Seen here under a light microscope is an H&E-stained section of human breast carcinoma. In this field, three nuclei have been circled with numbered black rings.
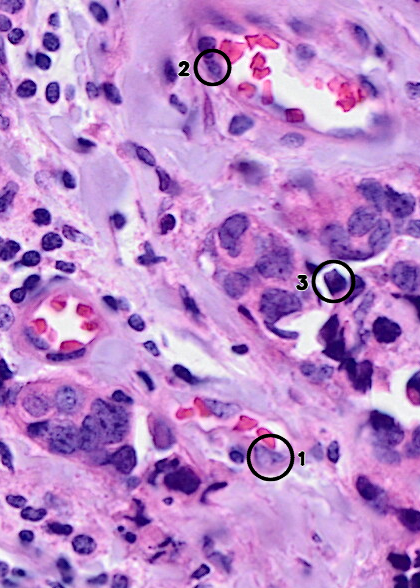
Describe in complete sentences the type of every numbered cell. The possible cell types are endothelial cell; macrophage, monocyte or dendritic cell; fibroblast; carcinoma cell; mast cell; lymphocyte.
Cells 1 and 2 are endothelial cells. Cell 3 is a carcinoma cell.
